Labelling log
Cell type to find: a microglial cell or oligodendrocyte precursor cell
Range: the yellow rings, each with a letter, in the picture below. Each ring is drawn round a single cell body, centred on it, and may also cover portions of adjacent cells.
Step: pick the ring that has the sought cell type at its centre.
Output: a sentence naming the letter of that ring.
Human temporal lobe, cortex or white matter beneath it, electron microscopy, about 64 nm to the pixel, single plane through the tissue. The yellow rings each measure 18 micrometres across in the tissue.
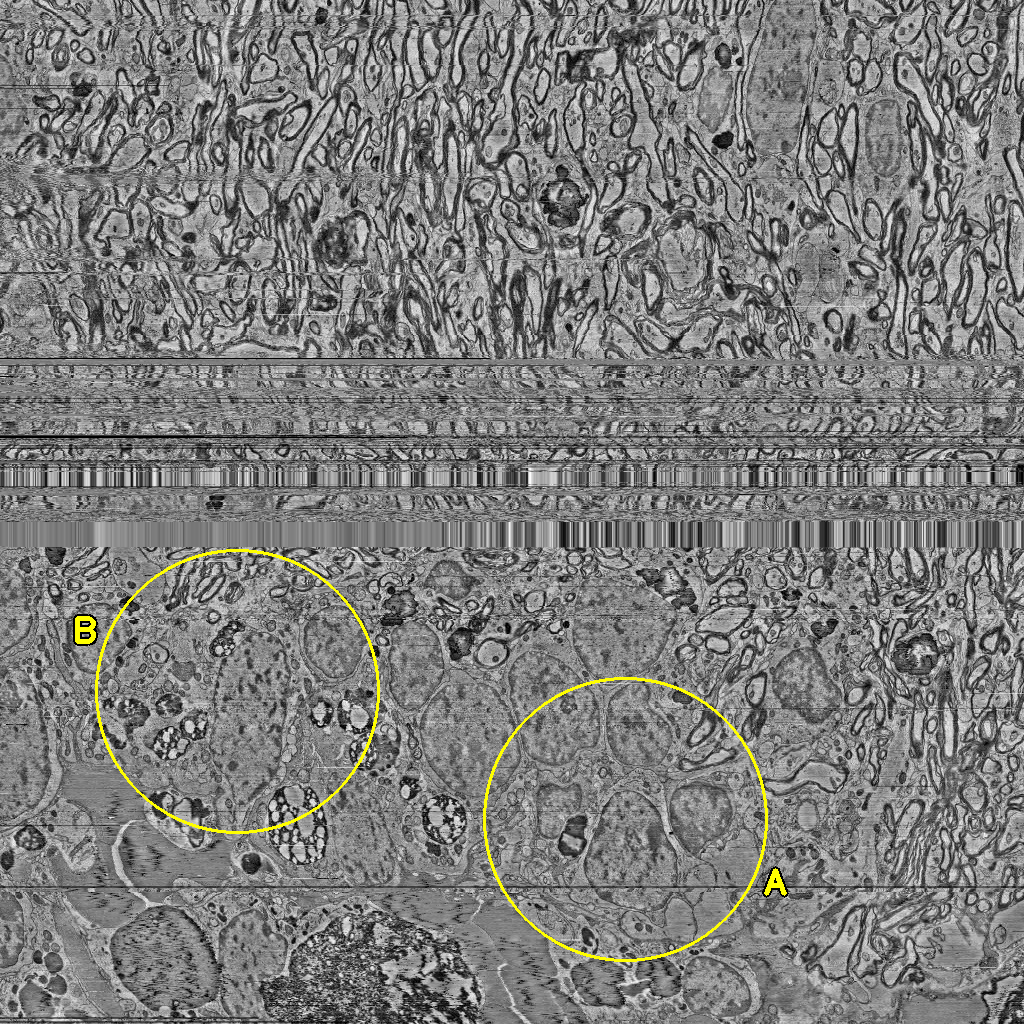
Ring A is the one with the cell asked for at its centre.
